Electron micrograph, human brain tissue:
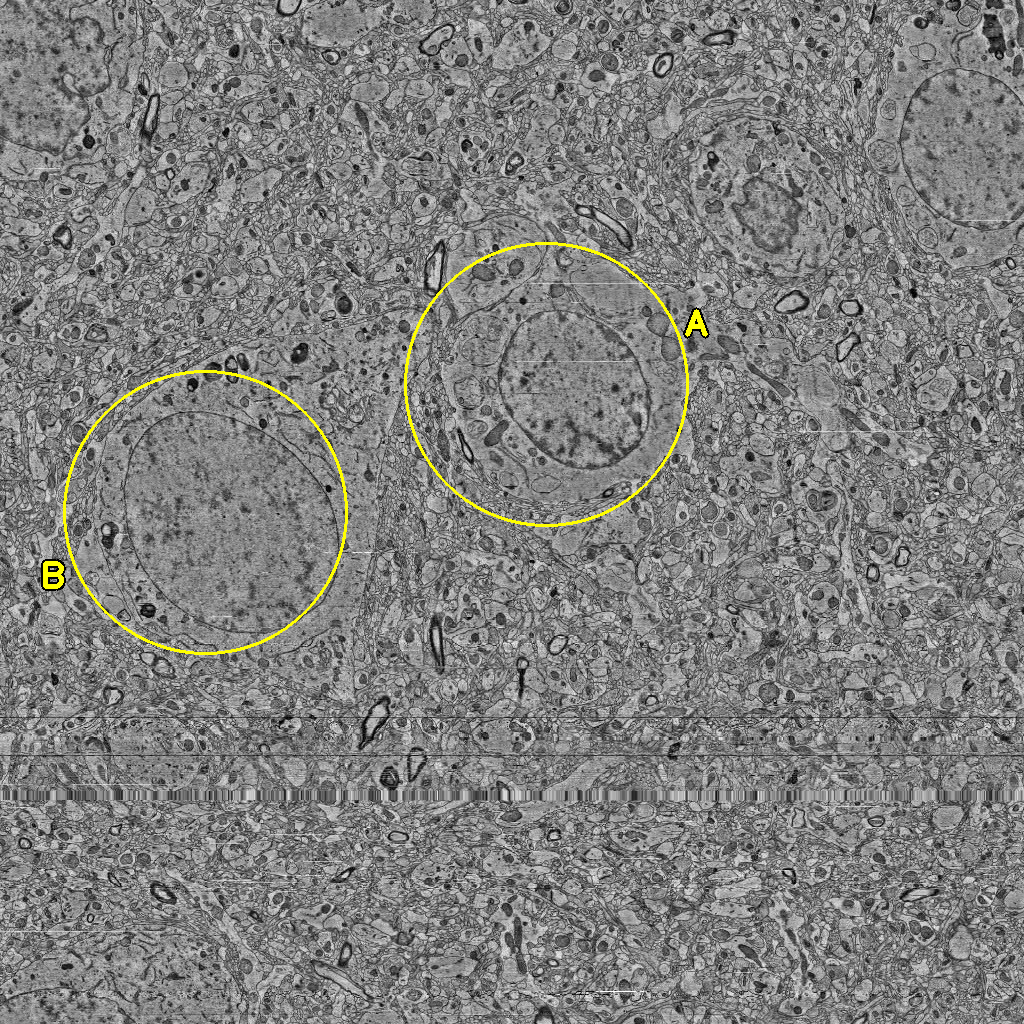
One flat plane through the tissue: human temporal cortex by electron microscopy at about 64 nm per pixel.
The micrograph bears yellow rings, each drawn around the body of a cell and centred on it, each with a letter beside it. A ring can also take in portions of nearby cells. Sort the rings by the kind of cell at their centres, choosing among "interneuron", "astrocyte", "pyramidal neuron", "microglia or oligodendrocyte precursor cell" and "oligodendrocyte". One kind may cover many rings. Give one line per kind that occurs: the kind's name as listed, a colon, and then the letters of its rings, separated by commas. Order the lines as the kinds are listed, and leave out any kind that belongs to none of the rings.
astrocyte: A
pyramidal neuron: B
